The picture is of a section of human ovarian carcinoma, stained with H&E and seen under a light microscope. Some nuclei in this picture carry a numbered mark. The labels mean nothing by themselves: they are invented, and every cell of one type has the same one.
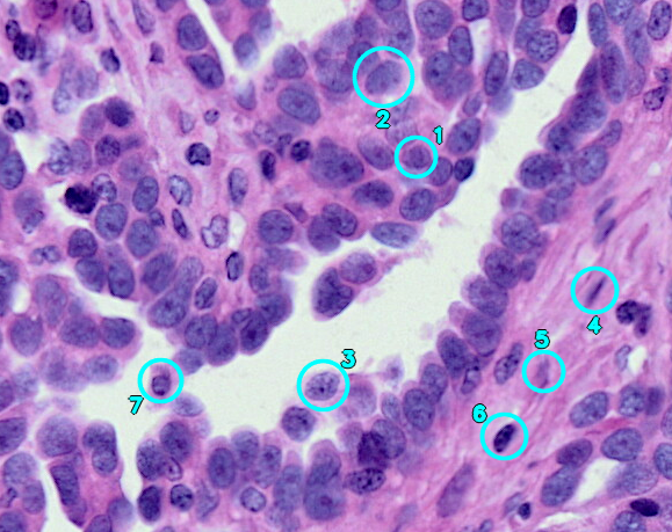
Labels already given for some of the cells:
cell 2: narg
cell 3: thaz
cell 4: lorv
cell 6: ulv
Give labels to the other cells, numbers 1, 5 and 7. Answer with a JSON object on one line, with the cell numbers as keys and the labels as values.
{"1": "narg", "5": "lorv", "7": "thaz"}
